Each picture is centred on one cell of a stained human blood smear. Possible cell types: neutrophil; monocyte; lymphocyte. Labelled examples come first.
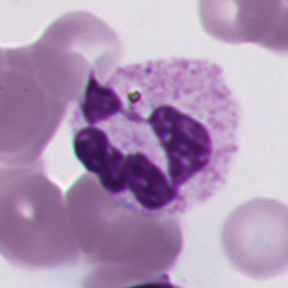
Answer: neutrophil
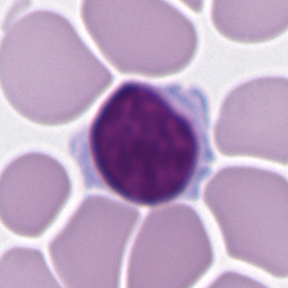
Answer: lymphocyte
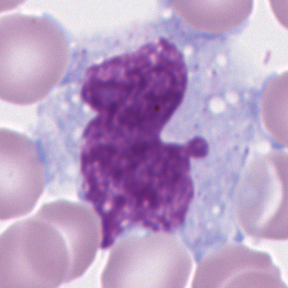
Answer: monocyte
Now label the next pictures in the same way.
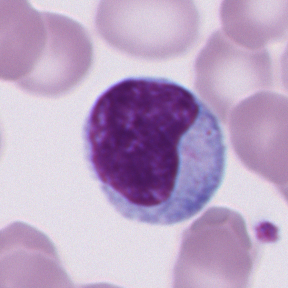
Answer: lymphocyte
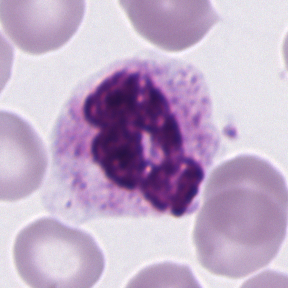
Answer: neutrophil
